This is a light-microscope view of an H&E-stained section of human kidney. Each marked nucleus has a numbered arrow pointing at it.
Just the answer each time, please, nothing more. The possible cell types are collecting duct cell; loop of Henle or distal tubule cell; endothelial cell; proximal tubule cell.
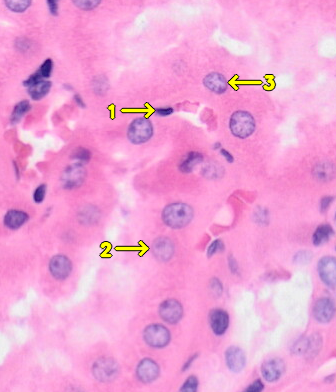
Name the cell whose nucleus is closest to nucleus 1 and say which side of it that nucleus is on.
a proximal tubule cell; below and to the left of nucleus 1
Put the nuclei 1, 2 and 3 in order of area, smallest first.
1, 3, 2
